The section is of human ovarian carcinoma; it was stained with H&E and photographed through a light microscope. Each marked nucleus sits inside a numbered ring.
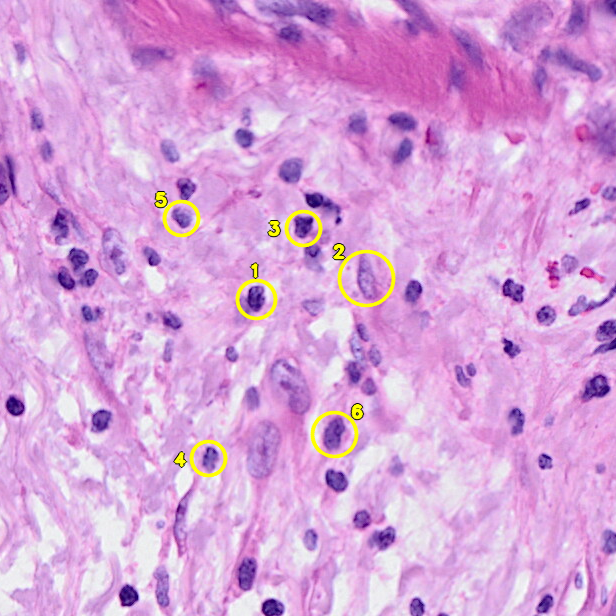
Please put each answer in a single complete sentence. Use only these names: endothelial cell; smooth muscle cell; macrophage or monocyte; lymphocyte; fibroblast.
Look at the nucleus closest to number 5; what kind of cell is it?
It is a lymphocyte whose nucleus is nearest to number 5.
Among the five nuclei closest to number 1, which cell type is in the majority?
Most of the five nuclei nearest to number 1 are those of macrophages or monocytes.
